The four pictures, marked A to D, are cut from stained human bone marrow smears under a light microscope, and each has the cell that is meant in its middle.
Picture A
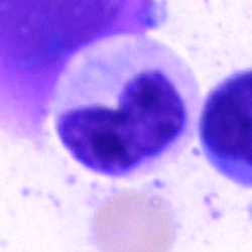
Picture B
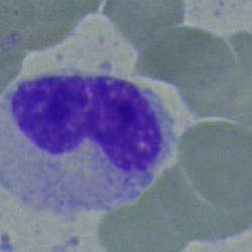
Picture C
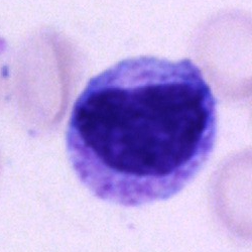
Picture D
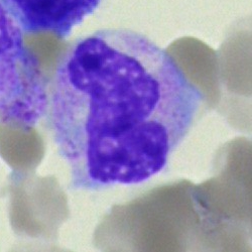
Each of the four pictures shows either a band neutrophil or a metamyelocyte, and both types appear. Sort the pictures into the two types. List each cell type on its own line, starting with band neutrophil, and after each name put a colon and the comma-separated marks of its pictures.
band neutrophil: D
metamyelocyte: A, B, C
